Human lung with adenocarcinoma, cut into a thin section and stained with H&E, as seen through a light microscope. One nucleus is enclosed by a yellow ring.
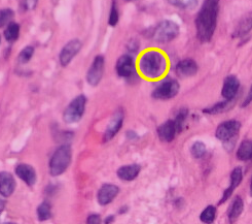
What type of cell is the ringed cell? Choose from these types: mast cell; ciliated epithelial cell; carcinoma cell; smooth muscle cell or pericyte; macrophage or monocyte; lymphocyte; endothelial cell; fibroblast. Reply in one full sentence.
By cell type, the ringed cell is a lymphocyte.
